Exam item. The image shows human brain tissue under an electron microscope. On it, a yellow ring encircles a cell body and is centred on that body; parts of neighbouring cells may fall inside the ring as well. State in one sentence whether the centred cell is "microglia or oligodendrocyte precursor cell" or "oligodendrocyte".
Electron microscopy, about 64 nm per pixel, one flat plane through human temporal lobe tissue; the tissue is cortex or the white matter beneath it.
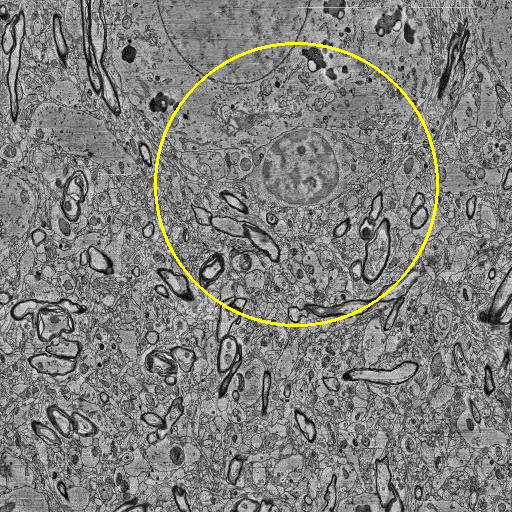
The cell body centred in the ring is an oligodendrocyte.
